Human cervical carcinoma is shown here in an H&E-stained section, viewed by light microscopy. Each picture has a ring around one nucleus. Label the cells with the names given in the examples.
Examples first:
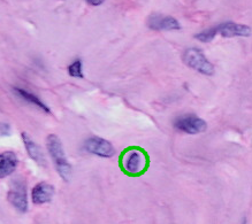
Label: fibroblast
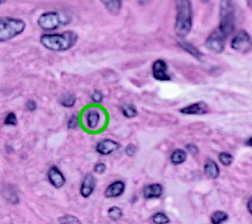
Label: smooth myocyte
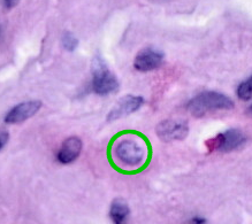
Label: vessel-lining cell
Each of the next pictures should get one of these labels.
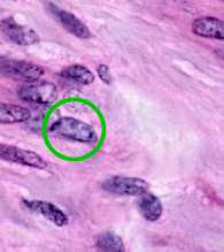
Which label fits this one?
vessel-lining cell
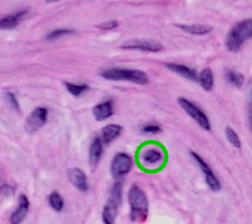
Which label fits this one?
fibroblast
